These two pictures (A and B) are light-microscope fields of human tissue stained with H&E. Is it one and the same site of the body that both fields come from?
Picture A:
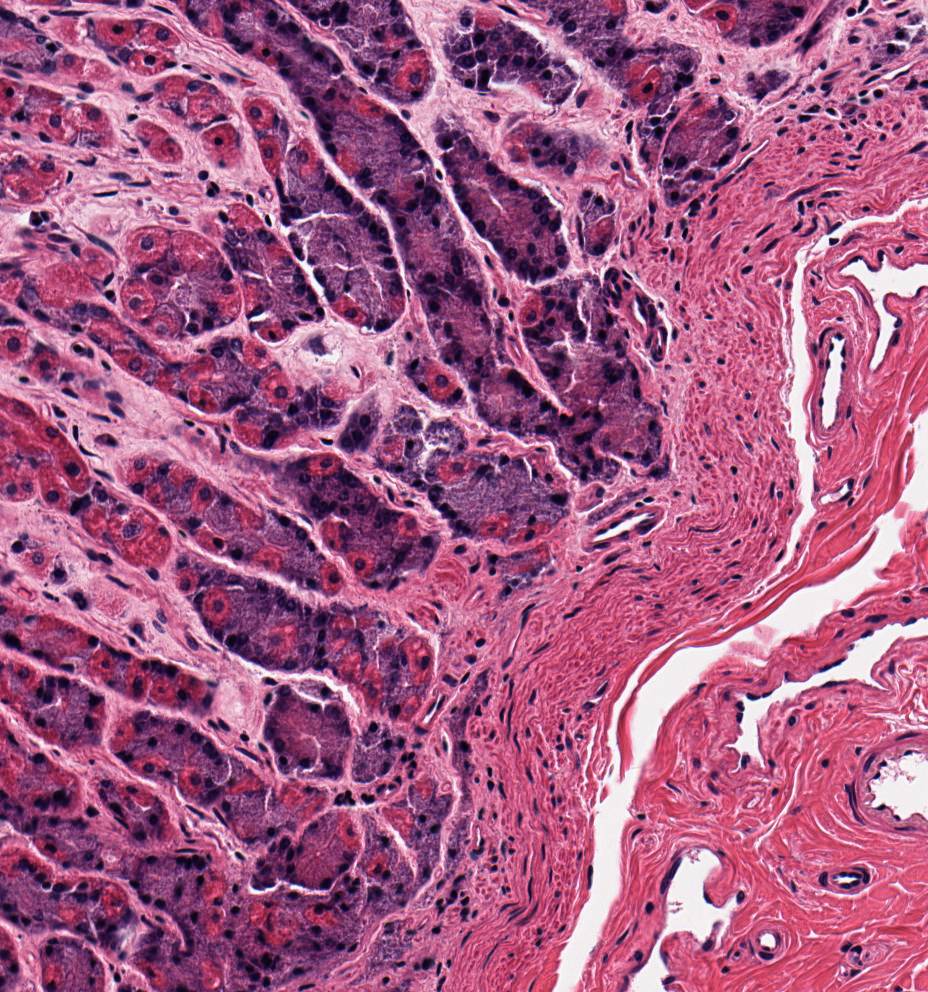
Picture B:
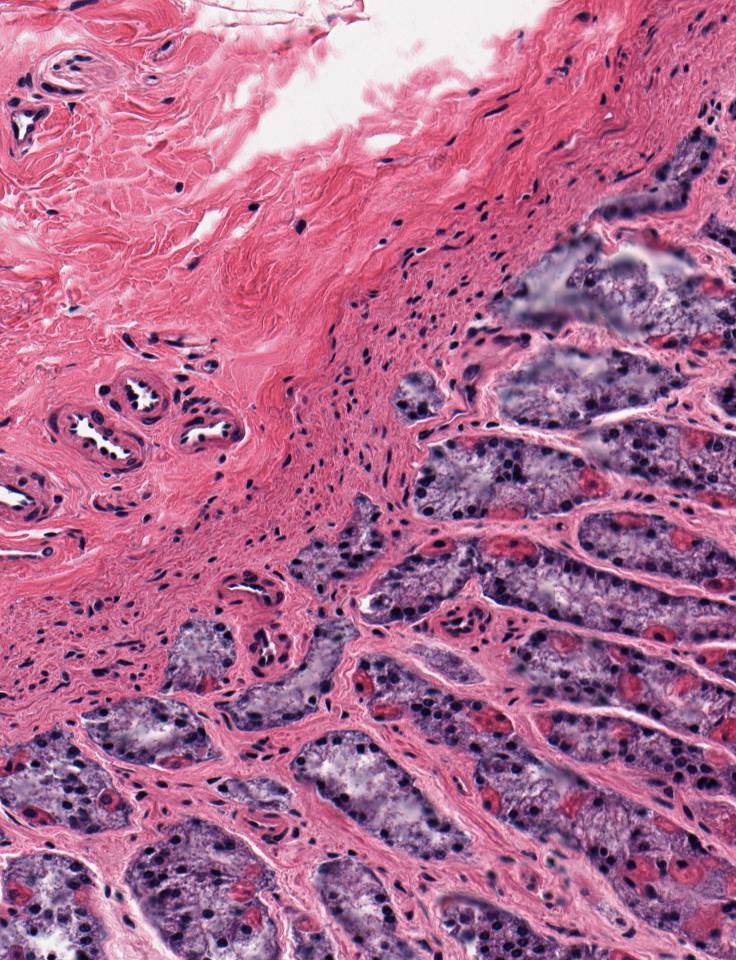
yes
